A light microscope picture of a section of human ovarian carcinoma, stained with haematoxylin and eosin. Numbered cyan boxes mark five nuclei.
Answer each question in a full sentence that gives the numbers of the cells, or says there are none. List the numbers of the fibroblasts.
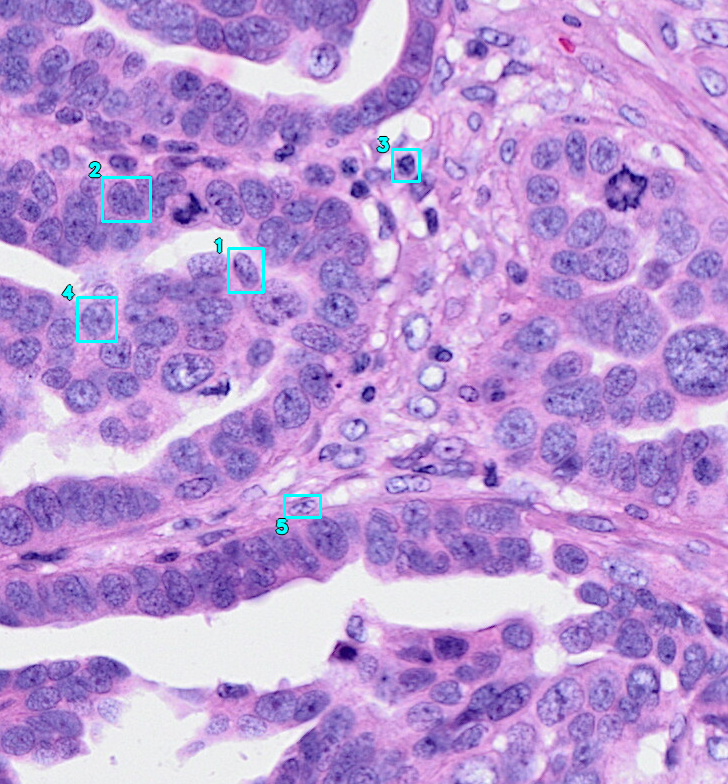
Cell 5 is a fibroblast, and this holds for no other numbered cell.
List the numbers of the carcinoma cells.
Each of the cells numbered 2 and 4 is among the carcinoma cells.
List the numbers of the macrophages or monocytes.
Among the numbered cells, a macrophage or monocyte occurs only once, as cell 1.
